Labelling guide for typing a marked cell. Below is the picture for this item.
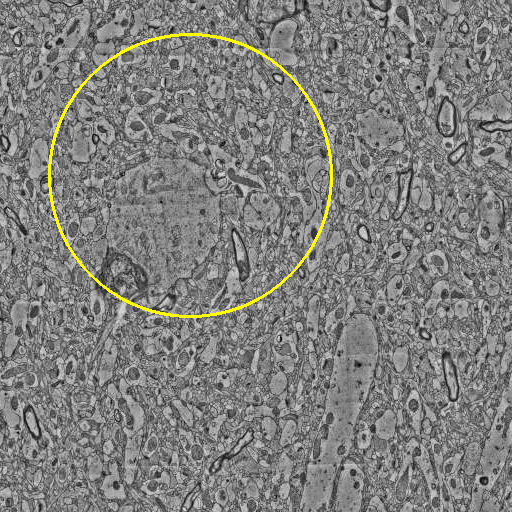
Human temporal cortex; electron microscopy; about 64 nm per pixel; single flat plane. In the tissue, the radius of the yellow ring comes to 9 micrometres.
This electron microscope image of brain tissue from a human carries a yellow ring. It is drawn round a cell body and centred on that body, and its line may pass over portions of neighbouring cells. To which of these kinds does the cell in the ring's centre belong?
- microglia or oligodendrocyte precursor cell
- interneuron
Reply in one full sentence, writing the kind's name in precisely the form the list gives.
Here we have an interneuron at the centre of the yellow ring in the picture.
